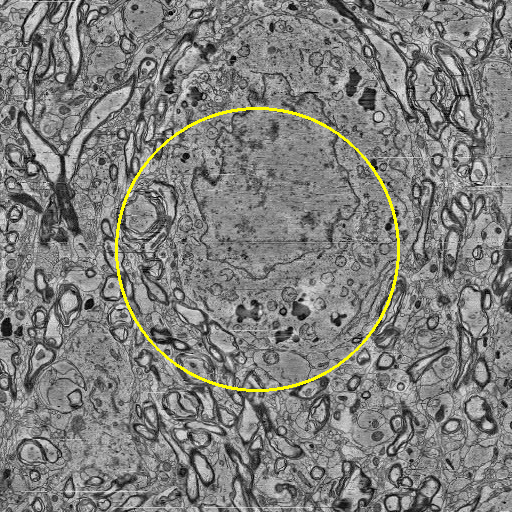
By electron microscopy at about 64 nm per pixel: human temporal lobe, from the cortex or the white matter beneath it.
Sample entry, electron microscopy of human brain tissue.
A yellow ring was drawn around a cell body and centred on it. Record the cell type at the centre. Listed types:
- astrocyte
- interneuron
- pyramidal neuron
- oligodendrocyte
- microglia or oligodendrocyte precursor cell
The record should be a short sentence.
The cell at the ring's centre is a pyramidal neuron.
